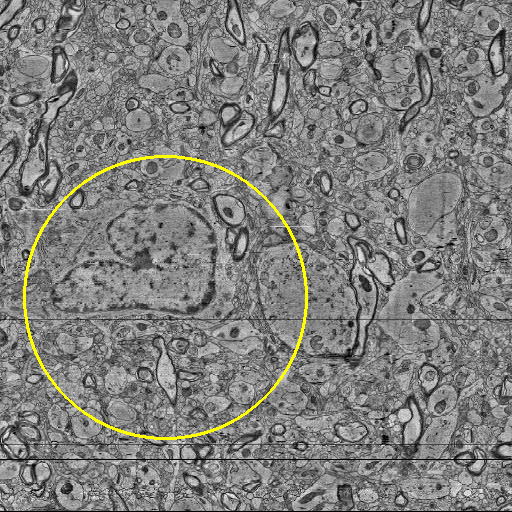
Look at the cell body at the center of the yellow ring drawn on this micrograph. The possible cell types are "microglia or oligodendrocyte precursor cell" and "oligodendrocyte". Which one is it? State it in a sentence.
The cell in the middle of the ring is a microglial cell or oligodendrocyte precursor cell.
